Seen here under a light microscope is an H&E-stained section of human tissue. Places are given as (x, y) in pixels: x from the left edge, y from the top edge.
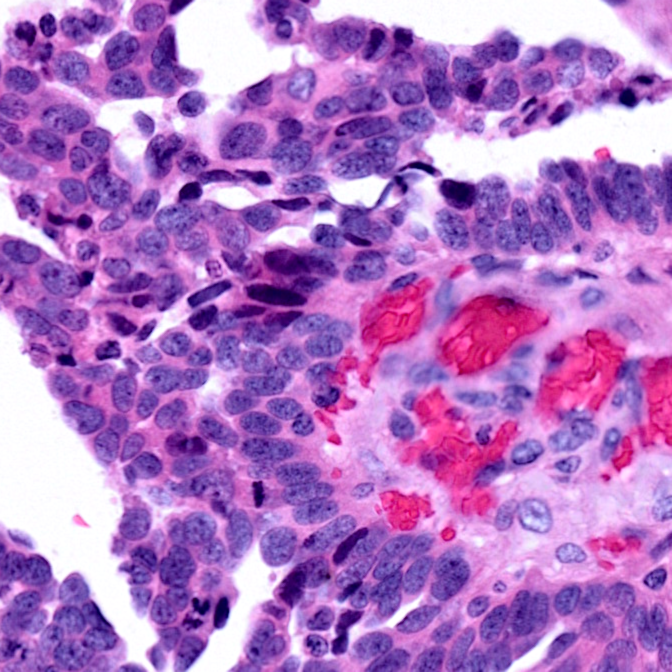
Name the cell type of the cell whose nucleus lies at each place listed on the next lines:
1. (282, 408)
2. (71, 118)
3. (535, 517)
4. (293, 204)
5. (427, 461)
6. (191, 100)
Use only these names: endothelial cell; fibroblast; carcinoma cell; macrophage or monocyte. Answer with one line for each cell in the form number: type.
1: carcinoma cell
2: carcinoma cell
3: fibroblast
4: carcinoma cell
5: endothelial cell
6: macrophage or monocyte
